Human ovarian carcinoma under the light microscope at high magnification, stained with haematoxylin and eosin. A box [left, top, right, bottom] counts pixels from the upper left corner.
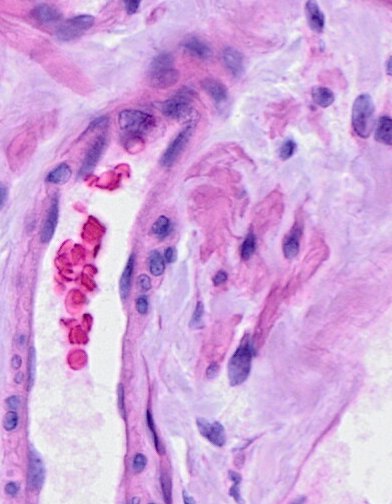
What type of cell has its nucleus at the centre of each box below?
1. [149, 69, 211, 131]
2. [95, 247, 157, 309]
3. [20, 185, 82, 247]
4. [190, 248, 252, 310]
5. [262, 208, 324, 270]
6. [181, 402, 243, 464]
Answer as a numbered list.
1. endothelial cell
2. endothelial cell
3. endothelial cell
4. smooth muscle cell
5. smooth muscle cell
6. fibroblast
